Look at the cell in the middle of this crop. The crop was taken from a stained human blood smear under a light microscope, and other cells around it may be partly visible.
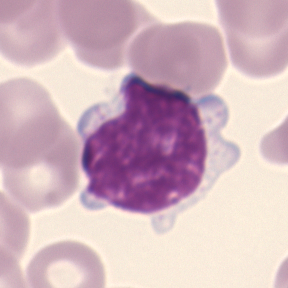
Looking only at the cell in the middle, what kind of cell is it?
large granular lymphocyte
